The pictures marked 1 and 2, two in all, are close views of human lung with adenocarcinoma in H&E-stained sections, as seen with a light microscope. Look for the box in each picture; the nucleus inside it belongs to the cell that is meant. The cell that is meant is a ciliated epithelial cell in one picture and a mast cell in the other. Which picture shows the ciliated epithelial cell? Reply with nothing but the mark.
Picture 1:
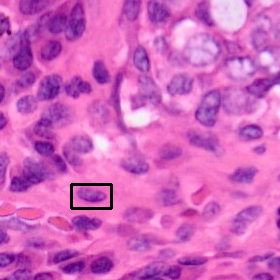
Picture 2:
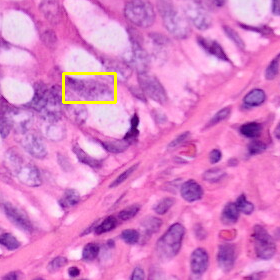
2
